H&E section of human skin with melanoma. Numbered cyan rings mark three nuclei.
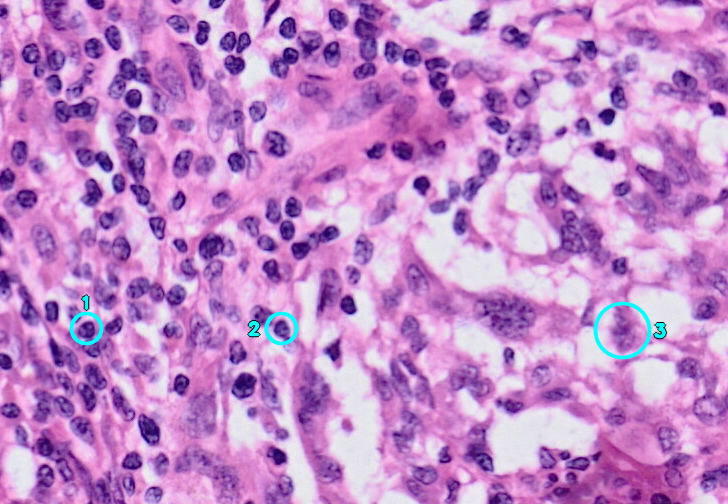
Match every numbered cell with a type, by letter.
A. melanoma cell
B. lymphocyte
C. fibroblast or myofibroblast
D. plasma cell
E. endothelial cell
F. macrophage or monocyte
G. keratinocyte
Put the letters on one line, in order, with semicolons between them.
B; B; A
